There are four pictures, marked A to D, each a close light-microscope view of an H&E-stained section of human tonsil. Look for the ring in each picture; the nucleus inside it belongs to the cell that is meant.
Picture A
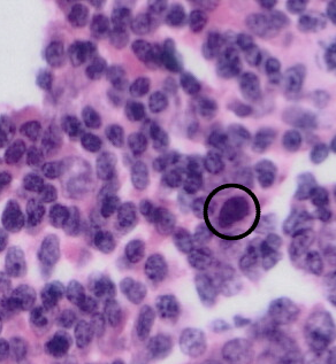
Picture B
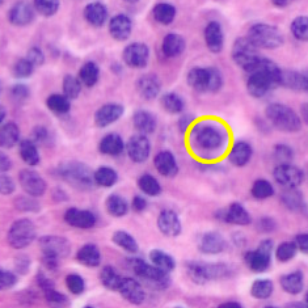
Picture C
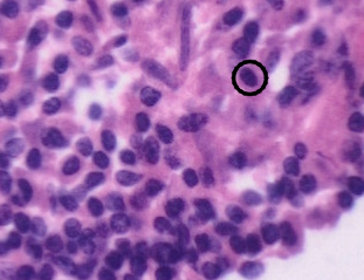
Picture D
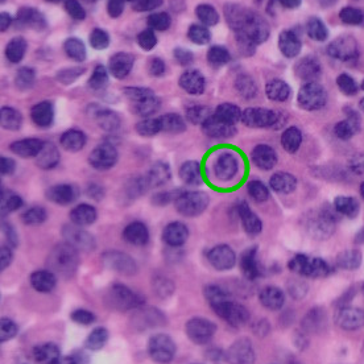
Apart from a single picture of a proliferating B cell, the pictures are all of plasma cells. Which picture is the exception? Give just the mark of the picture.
A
